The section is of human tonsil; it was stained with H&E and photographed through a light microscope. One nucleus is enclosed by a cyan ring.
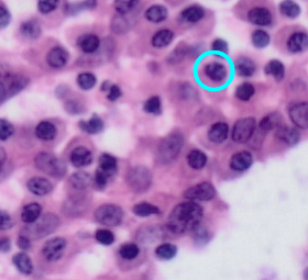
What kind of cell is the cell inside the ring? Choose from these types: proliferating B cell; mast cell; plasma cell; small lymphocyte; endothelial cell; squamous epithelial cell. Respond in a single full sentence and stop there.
In cellular terms, the cell inside the ring is a plasma cell.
